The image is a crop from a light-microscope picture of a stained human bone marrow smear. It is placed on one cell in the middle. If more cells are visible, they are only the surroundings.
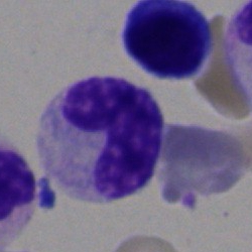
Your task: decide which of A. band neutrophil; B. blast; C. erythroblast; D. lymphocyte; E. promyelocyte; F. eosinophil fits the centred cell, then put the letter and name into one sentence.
What option A states is correct, the central cell being a band neutrophil.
